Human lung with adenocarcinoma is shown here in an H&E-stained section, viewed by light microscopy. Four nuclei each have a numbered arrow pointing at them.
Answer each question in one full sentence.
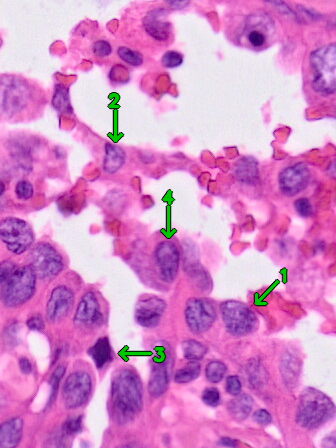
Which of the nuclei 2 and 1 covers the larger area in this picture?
Nucleus 1 covers more area, about 2 times as much as nucleus 2.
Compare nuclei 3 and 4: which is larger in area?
Number 4 is larger; its area is about 1.5 times that of number 3.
